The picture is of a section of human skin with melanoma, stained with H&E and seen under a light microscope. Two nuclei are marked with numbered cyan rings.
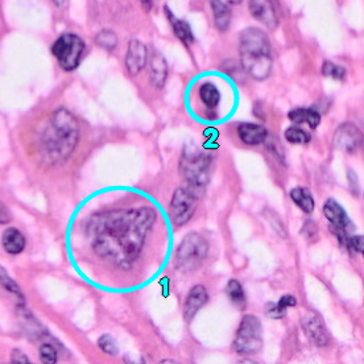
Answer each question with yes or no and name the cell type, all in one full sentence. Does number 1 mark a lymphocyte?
No, it's not a lymphocyte at number 1; that cell is a melanoma cell.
